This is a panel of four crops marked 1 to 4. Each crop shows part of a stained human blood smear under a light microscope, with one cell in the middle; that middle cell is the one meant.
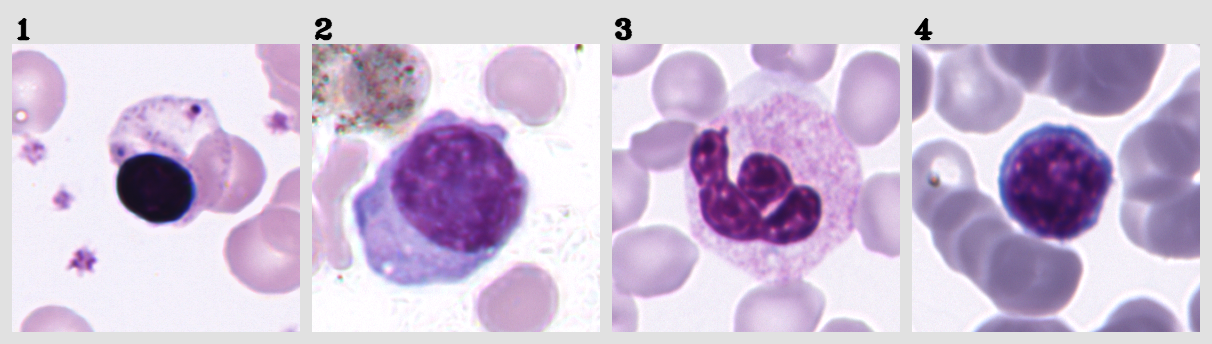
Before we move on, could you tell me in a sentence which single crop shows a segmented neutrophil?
Crop 3 is where a segmented neutrophil is to be found.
